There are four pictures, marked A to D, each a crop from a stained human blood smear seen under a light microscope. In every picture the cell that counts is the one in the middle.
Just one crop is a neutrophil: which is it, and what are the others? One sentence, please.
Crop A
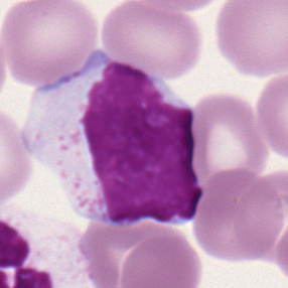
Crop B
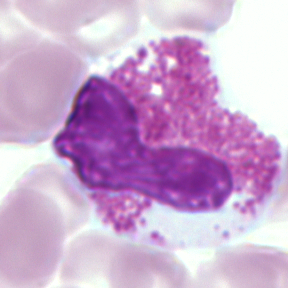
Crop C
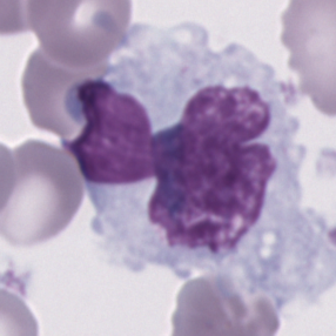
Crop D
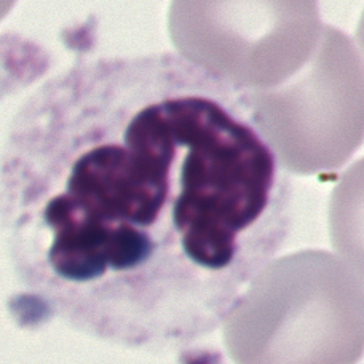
Going crop by crop, crop D is a neutrophil, while crop A is a large granular lymphocyte, crop B is an eosinophil and crop C is a monocyte.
